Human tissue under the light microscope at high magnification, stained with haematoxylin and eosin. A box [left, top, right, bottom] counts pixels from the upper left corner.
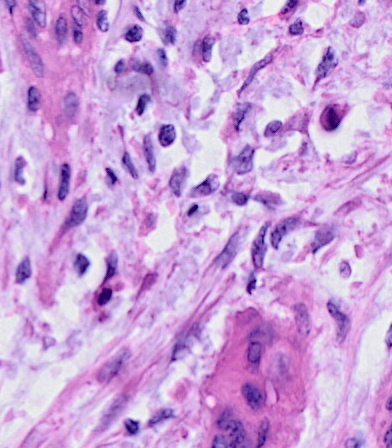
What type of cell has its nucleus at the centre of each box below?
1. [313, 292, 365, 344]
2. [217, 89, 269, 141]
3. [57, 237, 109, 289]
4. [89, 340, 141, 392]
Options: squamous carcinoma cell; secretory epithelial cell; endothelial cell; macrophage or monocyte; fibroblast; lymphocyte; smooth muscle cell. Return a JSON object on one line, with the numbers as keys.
{"1": "fibroblast", "2": "fibroblast", "3": "lymphocyte", "4": "fibroblast"}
